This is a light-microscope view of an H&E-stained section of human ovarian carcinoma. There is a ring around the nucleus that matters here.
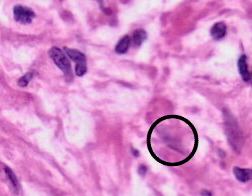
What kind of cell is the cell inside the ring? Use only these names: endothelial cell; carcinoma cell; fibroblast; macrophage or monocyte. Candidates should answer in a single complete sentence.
In the stained section, the cell inside the ring is a fibroblast.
